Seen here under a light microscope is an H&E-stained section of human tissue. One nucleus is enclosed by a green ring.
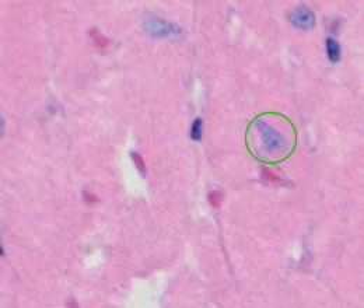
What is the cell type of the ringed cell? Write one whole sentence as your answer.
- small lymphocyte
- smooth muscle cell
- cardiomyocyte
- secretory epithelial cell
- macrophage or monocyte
Cytologically, the ringed cell is to be regarded as a cardiomyocyte.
